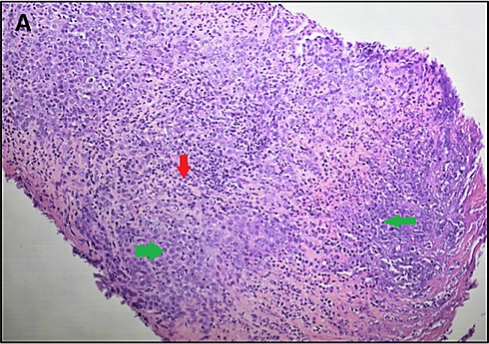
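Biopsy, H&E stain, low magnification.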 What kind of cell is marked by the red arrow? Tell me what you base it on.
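Small round dark-blue nuclei are scattered among the larger cells.
Conclusion: intratumoral lymphocytes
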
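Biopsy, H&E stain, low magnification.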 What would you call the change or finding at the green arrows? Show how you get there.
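Sheets of poorly differentiated cells. Where the green arrows point, crowded cells with purple nuclei form solid sheets. These cells form no glands or other organised structures.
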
